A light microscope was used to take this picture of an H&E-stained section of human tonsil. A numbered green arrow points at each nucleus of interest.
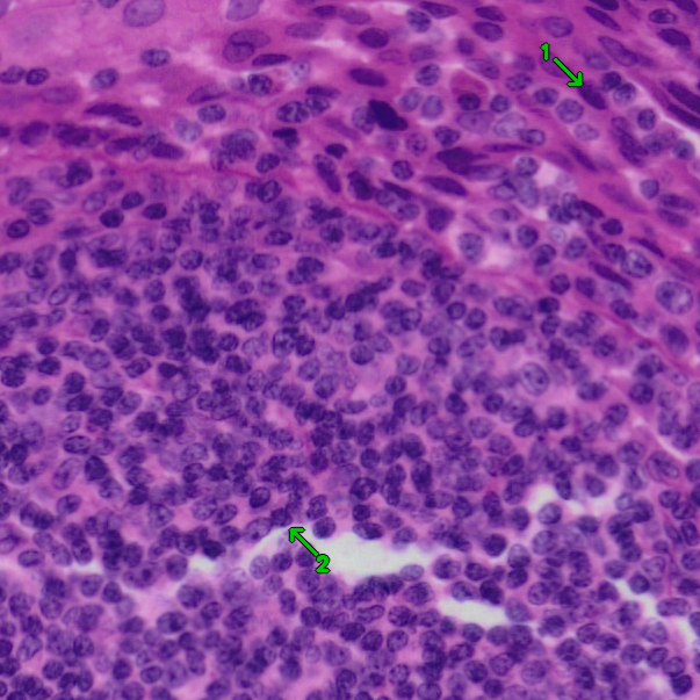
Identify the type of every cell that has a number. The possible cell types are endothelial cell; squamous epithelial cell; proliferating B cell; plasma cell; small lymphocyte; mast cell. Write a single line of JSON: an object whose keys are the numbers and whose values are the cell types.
{"1": "squamous epithelial cell", "2": "small lymphocyte"}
